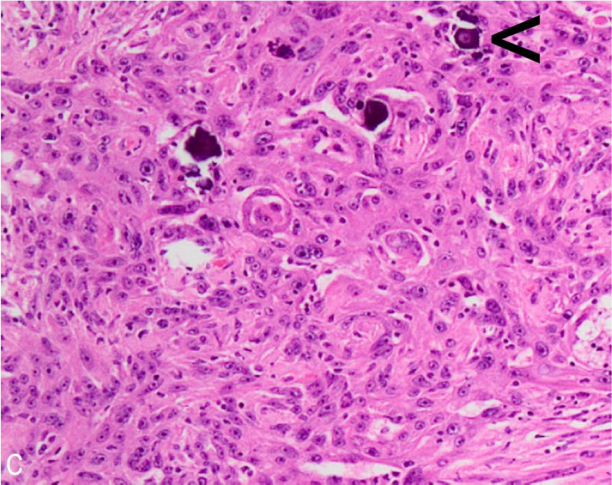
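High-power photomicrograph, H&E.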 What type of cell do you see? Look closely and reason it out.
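Epithelioid cells. Polygonal cells with pink cytoplasm are arranged in solid sheets. Nuclei are large and vary in size and shape.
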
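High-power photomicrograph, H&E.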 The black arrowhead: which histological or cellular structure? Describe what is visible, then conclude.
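The arrowhead points to a small, round, deeply purple body. The body is much darker than the surrounding nuclei and sits among tumour cells. Two similar dark purple rounded bodies lie nearby in the field. That points to this answer: psammoma bodies.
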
